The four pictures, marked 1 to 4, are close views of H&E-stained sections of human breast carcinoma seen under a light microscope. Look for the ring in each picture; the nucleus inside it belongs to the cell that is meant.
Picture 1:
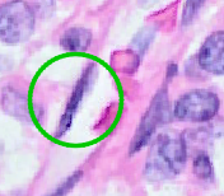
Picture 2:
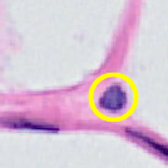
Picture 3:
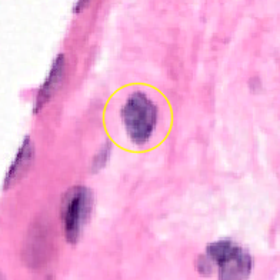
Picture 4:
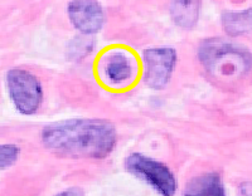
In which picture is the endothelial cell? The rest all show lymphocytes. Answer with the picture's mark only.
1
